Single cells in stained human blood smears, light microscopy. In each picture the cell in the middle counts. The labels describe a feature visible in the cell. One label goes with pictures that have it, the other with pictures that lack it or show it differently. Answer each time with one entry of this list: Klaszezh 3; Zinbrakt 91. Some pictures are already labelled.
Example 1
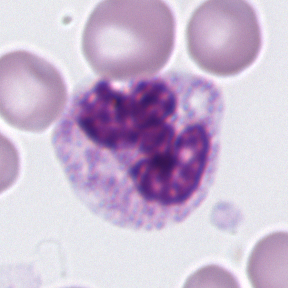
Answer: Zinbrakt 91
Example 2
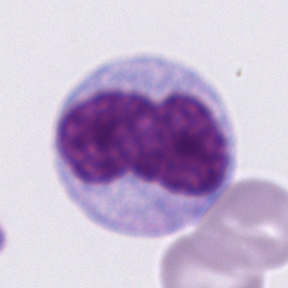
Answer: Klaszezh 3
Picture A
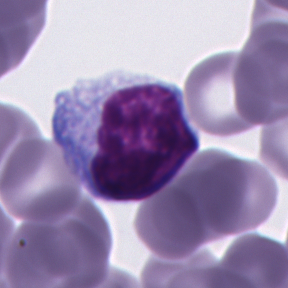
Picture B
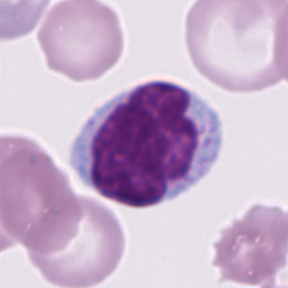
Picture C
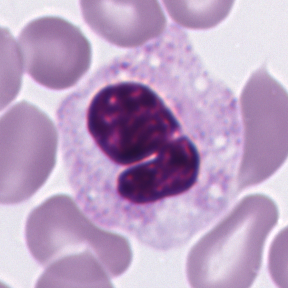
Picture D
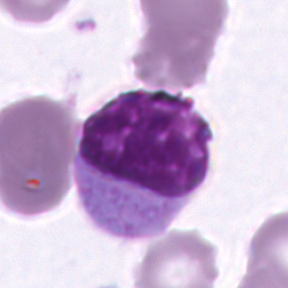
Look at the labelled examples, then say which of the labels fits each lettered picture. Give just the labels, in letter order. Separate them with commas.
Zinbrakt 91, Klaszezh 3, Zinbrakt 91, Klaszezh 3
